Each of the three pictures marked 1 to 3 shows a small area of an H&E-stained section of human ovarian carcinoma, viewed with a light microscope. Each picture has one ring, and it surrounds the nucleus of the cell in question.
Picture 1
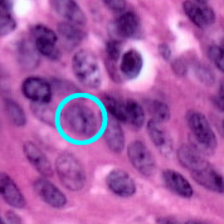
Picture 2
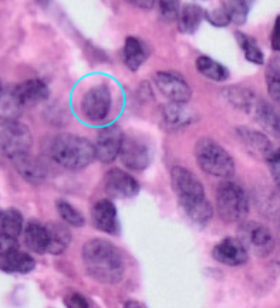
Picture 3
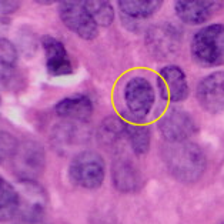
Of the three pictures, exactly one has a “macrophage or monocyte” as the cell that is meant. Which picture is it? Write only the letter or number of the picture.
3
